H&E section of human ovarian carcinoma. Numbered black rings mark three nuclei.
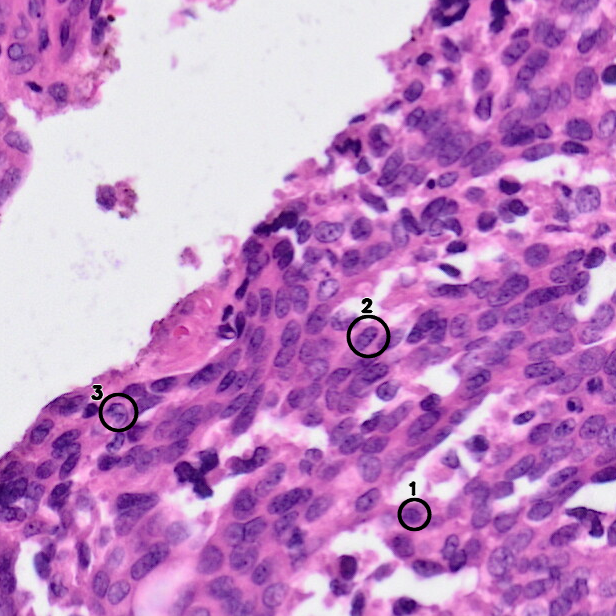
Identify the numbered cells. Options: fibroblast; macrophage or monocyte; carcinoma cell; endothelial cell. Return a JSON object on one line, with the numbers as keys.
{"1": "carcinoma cell", "2": "macrophage or monocyte", "3": "macrophage or monocyte"}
